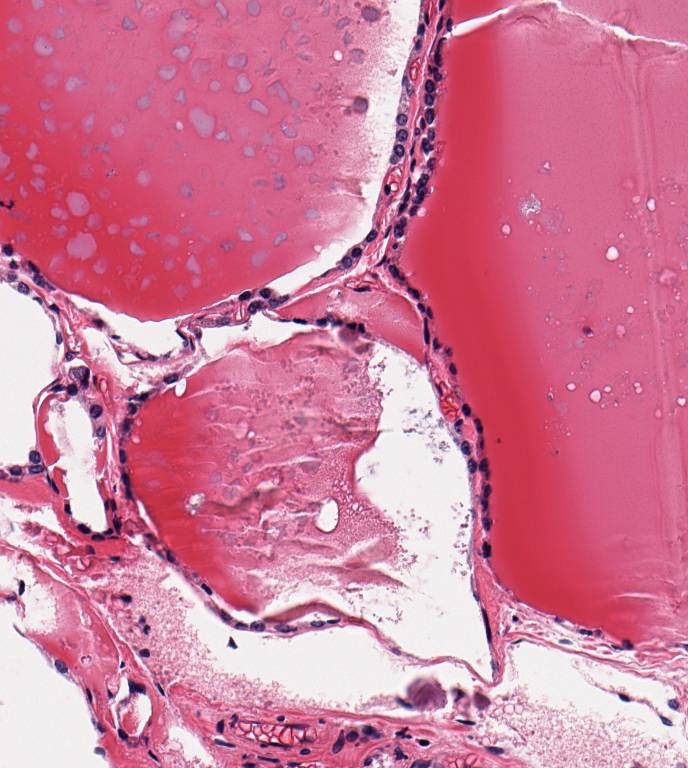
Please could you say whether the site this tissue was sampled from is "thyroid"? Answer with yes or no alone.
yes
